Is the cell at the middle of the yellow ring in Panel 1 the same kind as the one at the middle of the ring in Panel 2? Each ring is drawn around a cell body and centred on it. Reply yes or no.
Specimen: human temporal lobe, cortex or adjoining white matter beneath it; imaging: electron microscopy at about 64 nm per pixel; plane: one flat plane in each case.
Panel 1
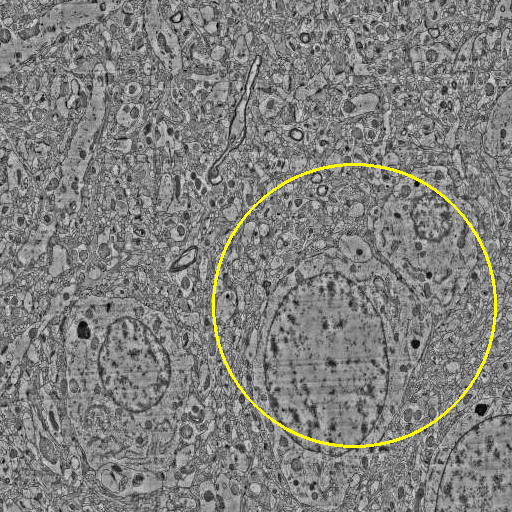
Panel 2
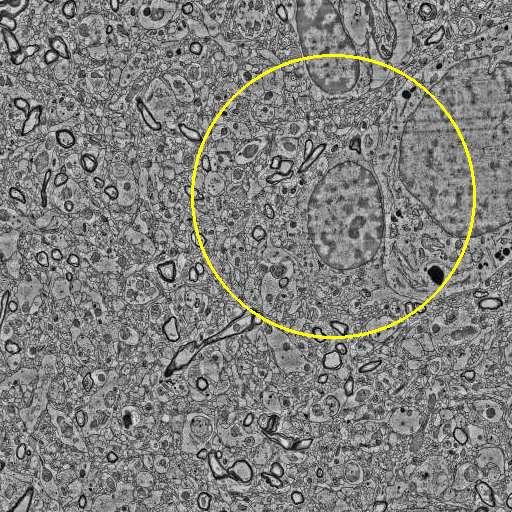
no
